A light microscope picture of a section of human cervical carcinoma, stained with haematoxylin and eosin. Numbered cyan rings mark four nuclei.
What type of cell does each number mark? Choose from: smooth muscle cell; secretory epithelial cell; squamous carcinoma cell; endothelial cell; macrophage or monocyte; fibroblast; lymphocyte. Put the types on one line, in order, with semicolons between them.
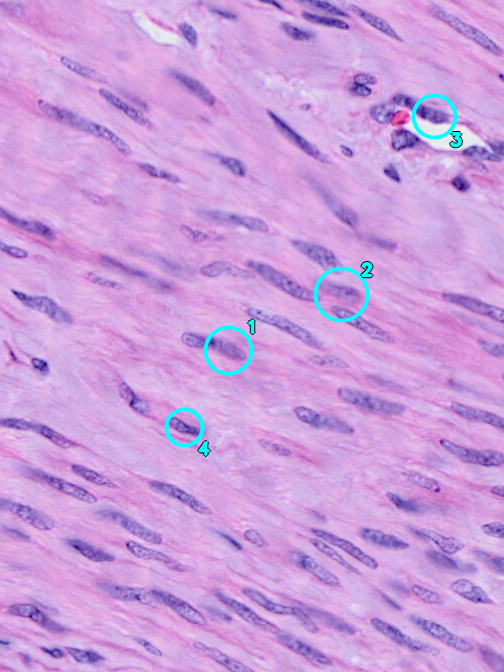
smooth muscle cell; smooth muscle cell; endothelial cell; smooth muscle cell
